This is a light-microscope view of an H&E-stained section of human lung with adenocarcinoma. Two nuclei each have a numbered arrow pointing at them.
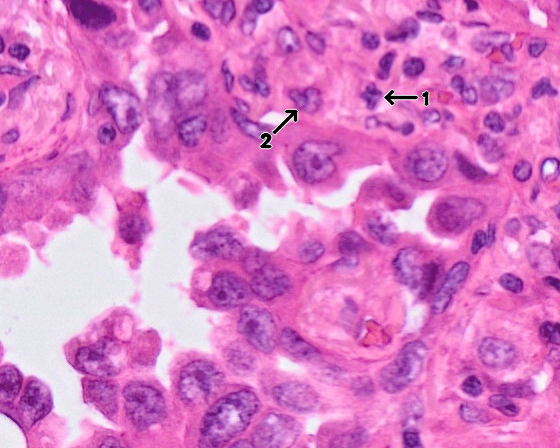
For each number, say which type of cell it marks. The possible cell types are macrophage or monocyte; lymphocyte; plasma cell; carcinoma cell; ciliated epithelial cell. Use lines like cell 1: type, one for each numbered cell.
cell 1: lymphocyte
cell 2: macrophage or monocyte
